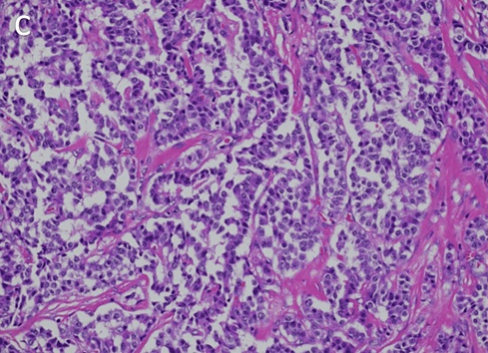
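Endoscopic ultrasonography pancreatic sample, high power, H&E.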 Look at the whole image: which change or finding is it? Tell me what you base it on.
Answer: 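Neuroendocrine tumor of the pancreas. Sheets, nests and trabeculae of uniform cells with round nuclei. Thin pink fibrovascular strands run between the cell groups.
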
